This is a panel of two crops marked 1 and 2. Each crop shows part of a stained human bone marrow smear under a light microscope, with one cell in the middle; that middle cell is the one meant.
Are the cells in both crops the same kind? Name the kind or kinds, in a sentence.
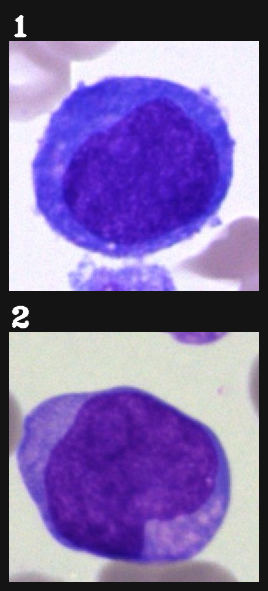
Yes, for both crops, the central cells are blasts.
